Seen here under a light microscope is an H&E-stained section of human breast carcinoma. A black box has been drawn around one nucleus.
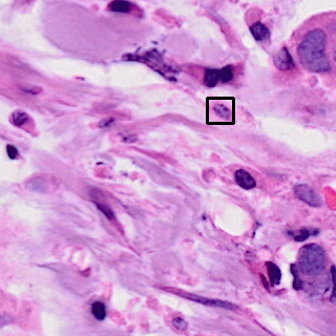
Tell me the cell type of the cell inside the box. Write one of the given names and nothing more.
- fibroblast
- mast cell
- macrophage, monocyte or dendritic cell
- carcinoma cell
mast cell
